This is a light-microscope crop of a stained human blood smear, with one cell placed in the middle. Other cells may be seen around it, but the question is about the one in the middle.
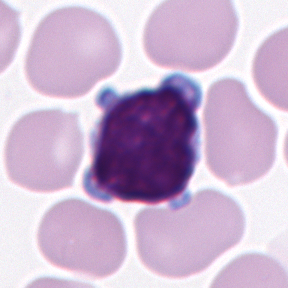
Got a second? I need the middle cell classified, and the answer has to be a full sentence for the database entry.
This crop has a lymphocyte at its centre.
